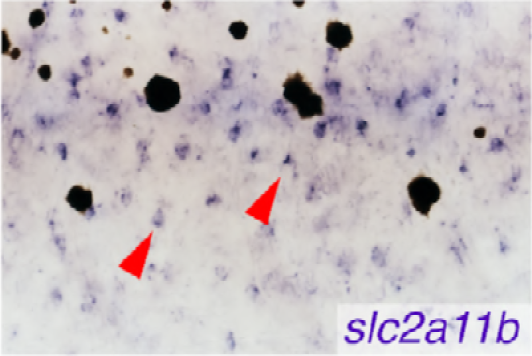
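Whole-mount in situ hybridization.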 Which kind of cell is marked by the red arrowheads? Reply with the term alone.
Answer: xanthophores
